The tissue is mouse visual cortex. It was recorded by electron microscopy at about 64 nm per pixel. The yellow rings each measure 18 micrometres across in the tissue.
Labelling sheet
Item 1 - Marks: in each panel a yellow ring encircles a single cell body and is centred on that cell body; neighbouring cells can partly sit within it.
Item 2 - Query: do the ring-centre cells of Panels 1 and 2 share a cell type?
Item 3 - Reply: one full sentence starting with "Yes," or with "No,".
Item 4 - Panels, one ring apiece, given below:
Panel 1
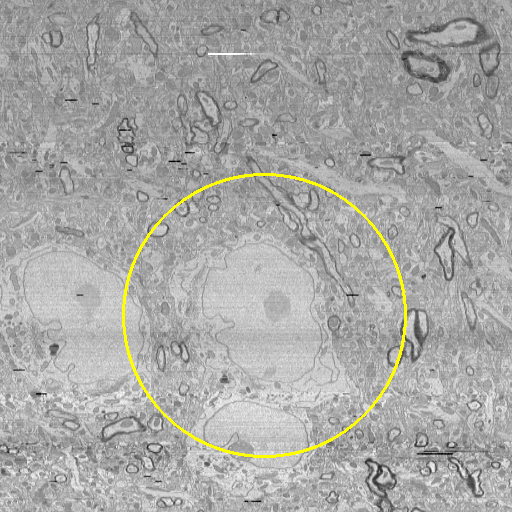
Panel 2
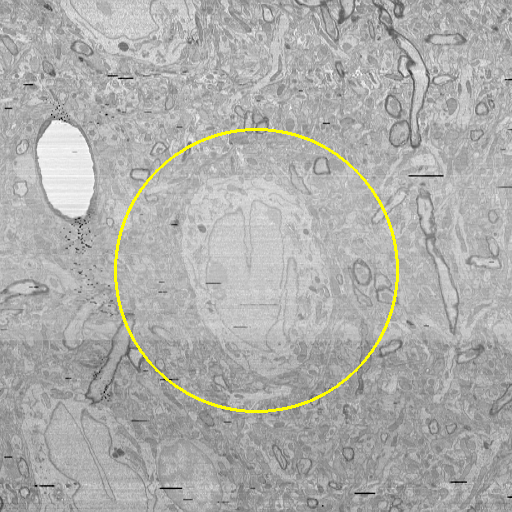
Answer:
Yes, Panel 1 and Panel 2 show one cell type at the centres of their rings.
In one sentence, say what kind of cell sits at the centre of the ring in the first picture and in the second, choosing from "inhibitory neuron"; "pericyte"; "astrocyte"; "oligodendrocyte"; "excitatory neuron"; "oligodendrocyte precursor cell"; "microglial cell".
Each of the two rings surrounds an excitatory neuron.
